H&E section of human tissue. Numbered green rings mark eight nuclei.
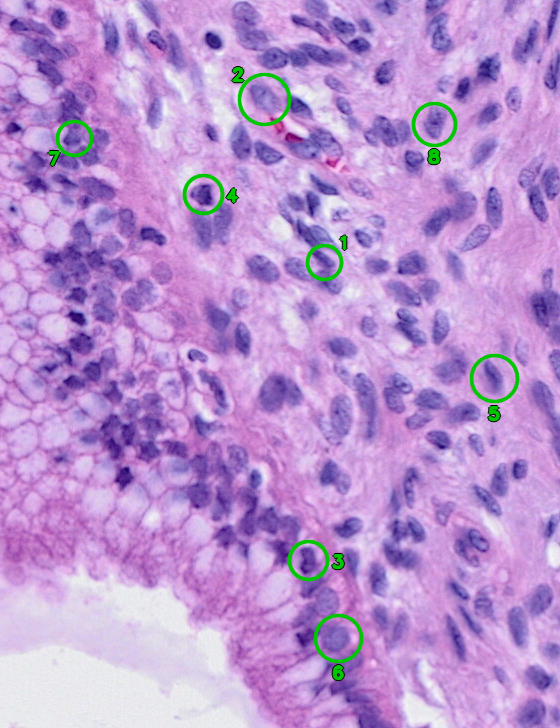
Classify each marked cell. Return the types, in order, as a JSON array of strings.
["fibroblast", "endothelial cell", "secretory epithelial cell", "lymphocyte", "fibroblast", "secretory epithelial cell", "secretory epithelial cell", "fibroblast"]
